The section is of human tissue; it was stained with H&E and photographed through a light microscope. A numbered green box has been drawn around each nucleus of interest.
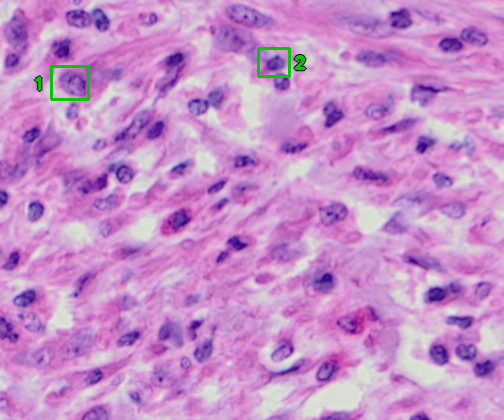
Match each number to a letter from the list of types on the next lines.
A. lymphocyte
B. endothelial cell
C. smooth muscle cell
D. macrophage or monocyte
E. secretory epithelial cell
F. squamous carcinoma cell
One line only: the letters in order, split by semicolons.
D; A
